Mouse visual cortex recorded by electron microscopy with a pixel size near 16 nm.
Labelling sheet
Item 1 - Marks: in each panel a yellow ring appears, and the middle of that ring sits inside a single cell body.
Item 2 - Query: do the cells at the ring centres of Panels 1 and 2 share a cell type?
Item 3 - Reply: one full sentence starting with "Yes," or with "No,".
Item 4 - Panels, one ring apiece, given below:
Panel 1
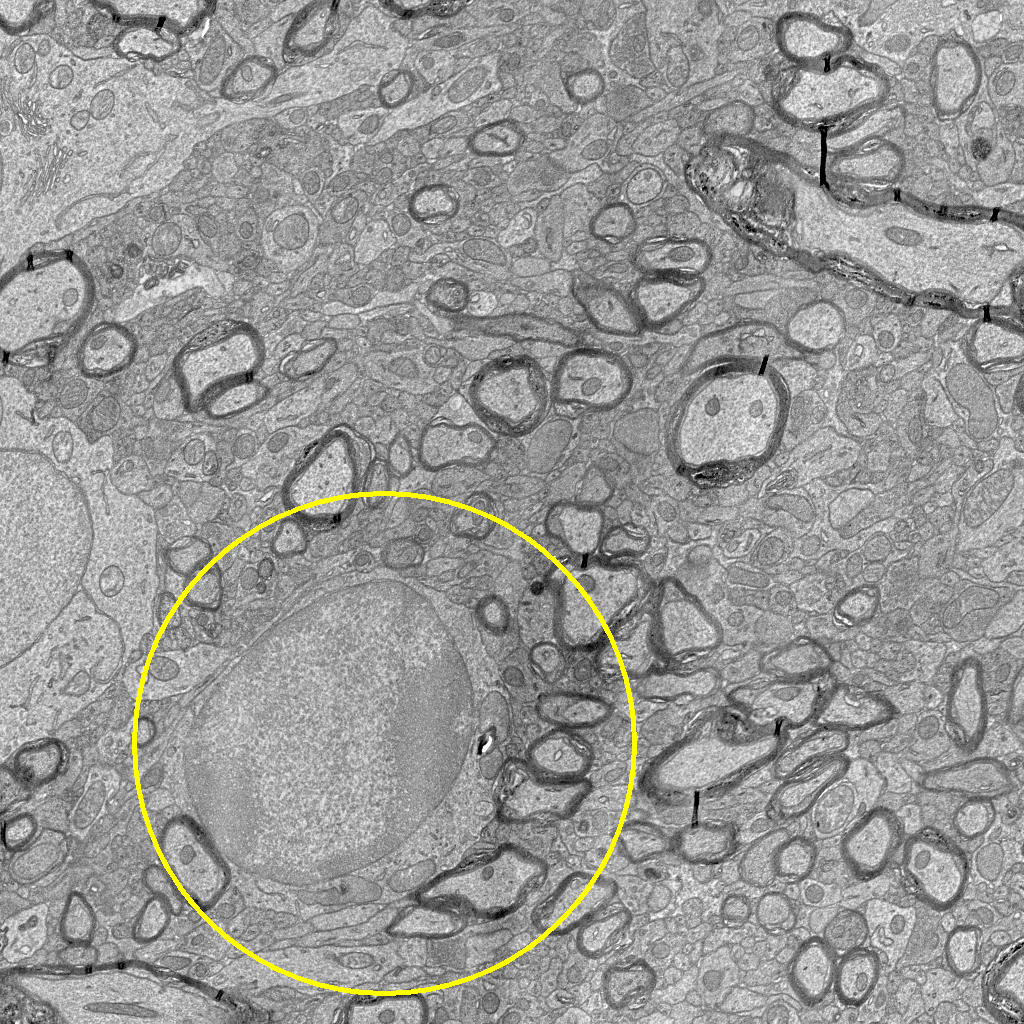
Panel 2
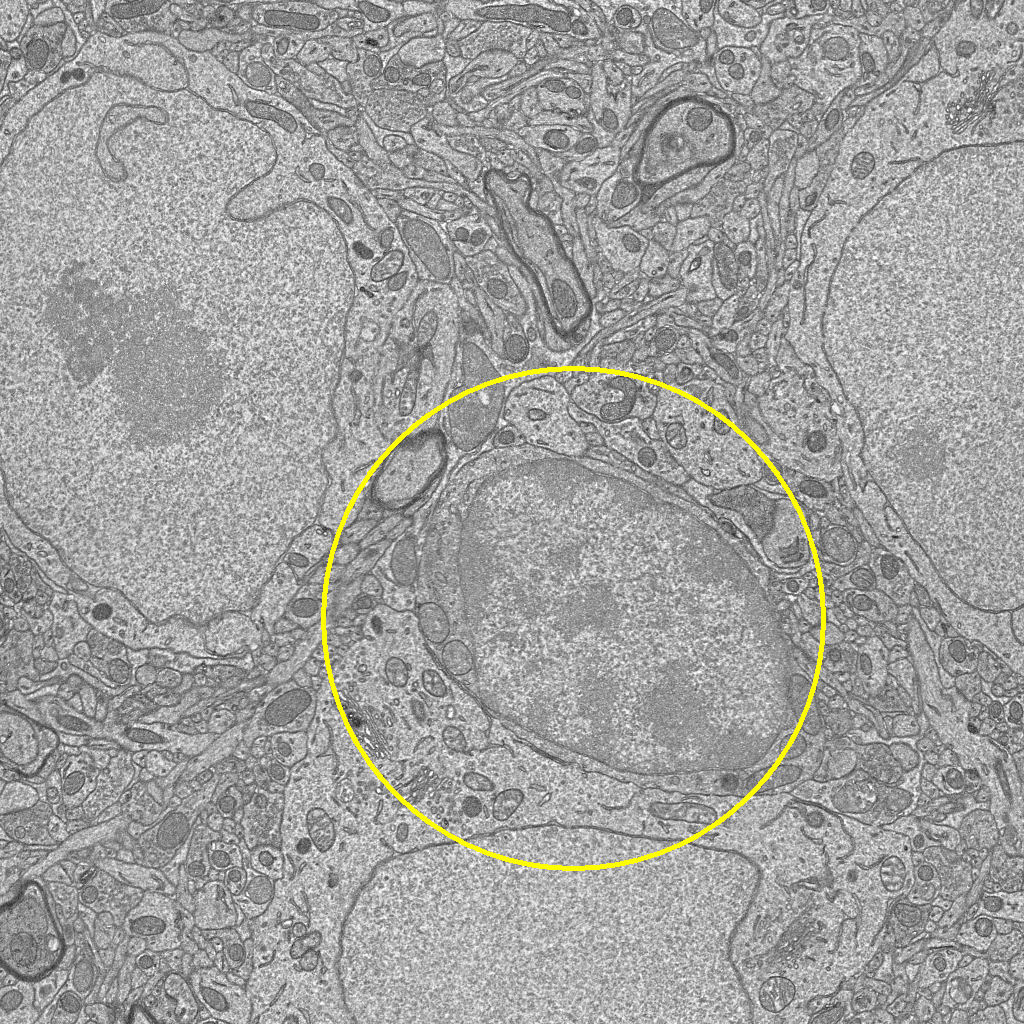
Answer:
Yes, Panel 1 and Panel 2 show one cell type at the centres of their rings.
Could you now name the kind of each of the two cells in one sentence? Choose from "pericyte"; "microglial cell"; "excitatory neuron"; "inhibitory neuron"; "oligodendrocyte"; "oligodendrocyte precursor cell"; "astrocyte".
The cell in the first picture is an oligodendrocyte, and so is the one in the second.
